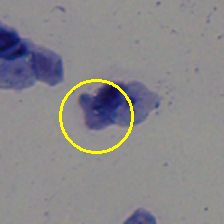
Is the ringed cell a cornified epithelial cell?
No, it is a nucleated epithelial cell.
